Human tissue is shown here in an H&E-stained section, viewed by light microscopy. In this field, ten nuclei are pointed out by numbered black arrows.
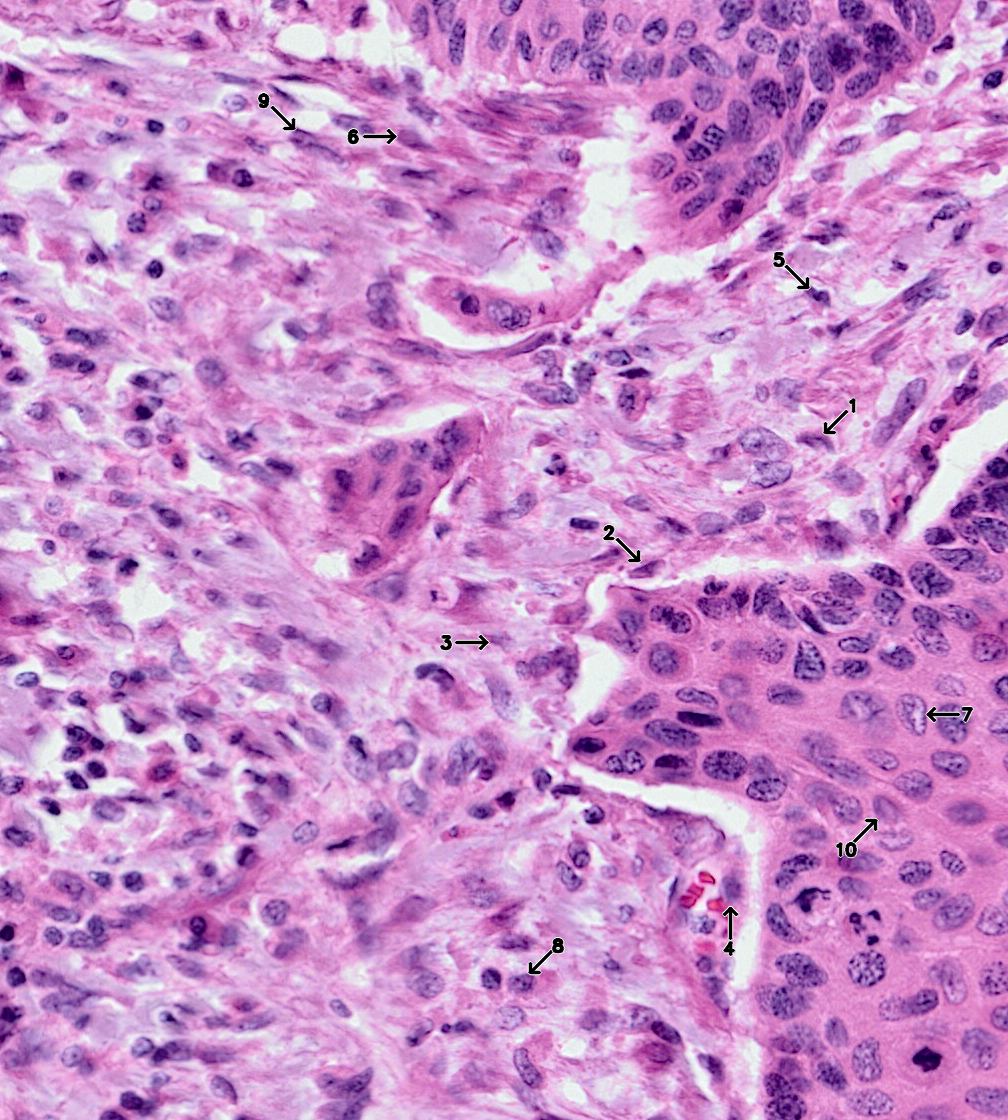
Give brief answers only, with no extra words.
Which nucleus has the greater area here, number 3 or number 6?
6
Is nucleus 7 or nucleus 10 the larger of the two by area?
7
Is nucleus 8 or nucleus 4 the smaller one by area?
8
